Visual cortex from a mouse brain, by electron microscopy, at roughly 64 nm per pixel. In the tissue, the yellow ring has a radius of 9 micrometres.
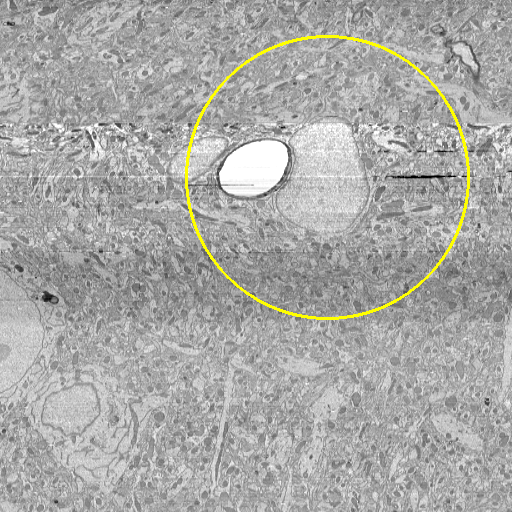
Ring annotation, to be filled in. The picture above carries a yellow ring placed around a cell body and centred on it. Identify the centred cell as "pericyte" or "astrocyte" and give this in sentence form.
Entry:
The cell in the middle of the ring is an astrocyte.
